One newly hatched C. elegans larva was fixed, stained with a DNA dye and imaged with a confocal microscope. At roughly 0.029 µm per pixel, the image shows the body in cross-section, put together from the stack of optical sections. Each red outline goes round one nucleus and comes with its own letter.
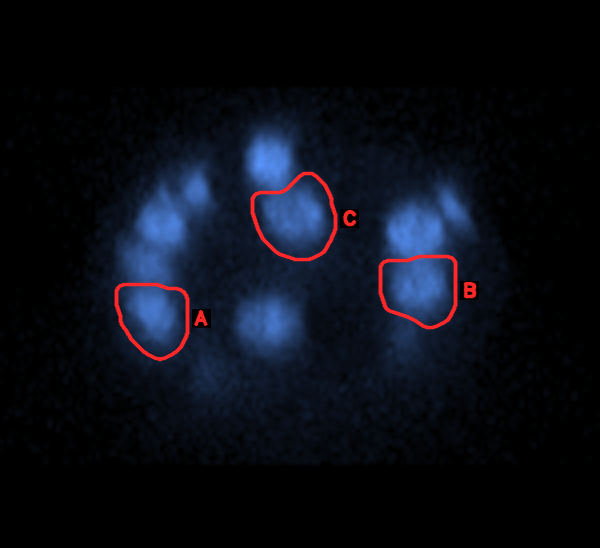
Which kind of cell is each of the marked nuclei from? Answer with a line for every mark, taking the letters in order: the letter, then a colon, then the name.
A: body wall muscle cell
B: pharyngeal muscle cell
C: pharyngeal muscle cell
